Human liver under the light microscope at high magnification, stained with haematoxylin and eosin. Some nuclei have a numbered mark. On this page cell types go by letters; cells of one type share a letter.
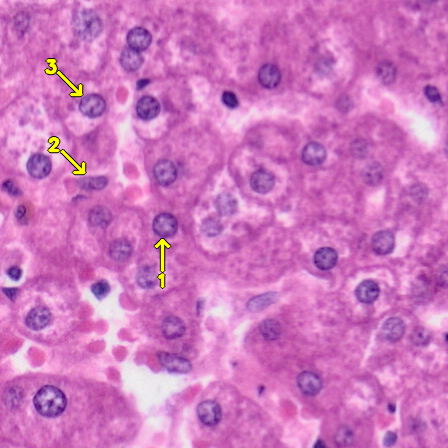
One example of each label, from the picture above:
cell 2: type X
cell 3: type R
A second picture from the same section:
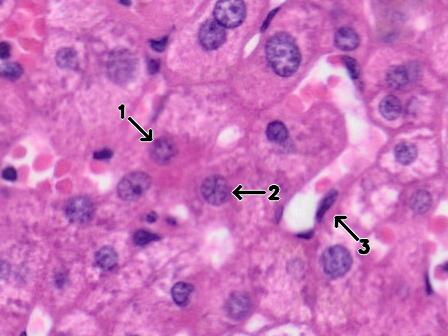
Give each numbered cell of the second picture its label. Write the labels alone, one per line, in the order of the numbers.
type R
type R
type X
